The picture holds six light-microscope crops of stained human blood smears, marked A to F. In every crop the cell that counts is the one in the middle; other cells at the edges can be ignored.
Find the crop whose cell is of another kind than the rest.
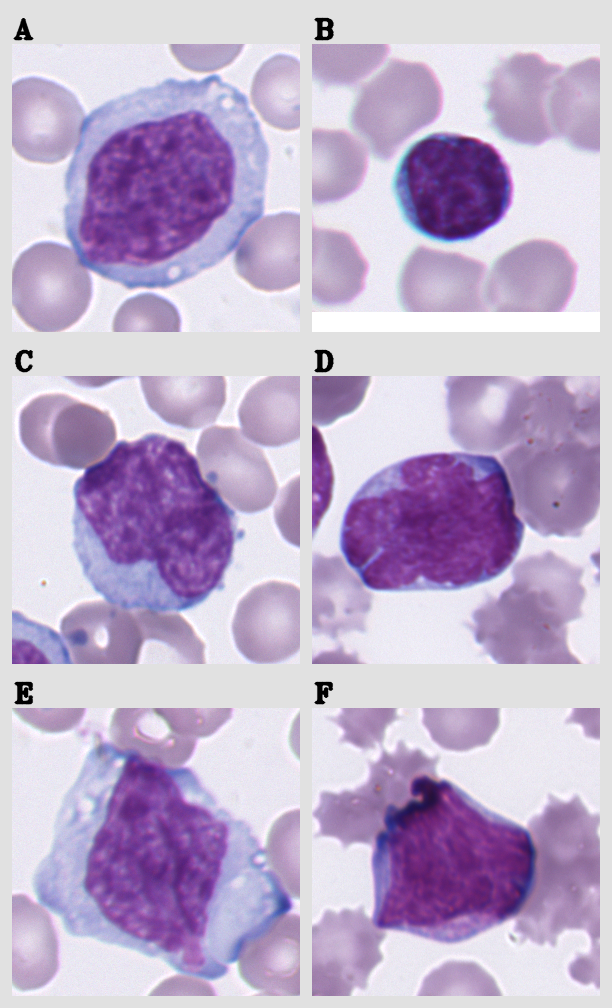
B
